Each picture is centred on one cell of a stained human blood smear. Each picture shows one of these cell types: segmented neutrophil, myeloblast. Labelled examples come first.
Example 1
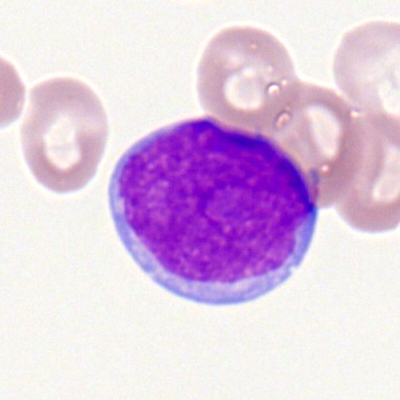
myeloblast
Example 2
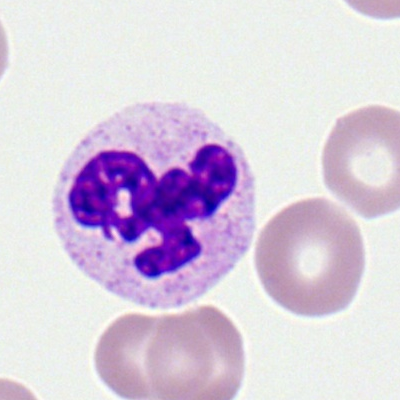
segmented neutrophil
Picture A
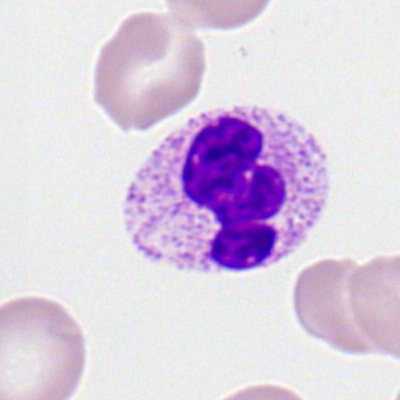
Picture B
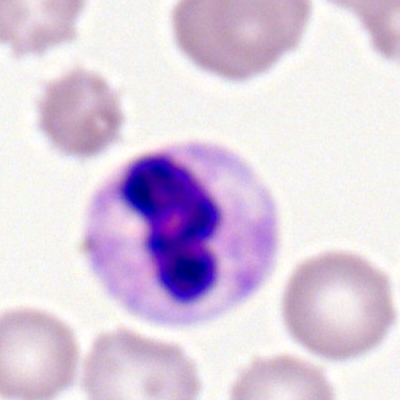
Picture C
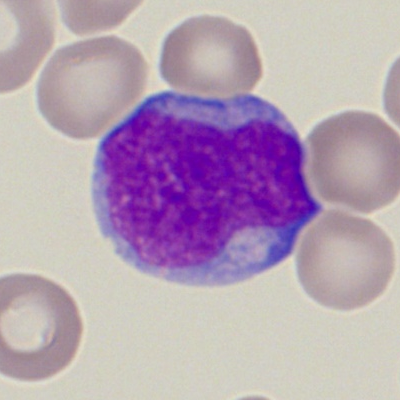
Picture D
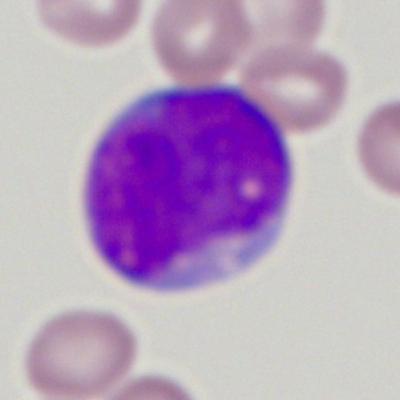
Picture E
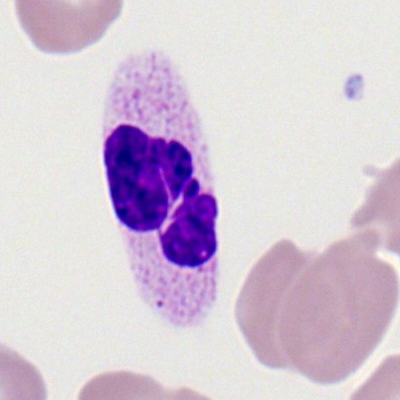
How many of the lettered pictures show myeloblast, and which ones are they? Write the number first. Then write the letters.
2, namely C, D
